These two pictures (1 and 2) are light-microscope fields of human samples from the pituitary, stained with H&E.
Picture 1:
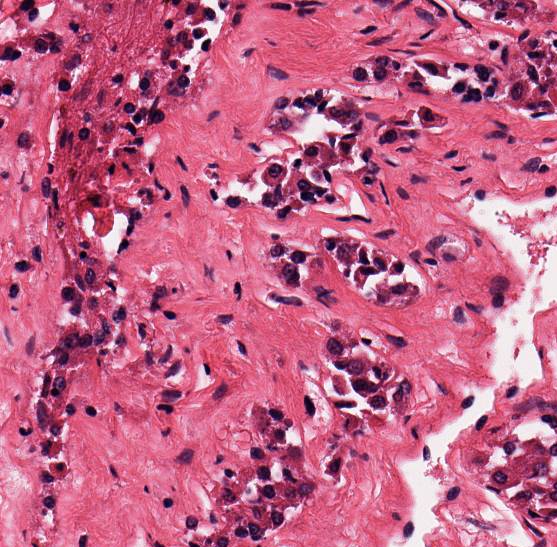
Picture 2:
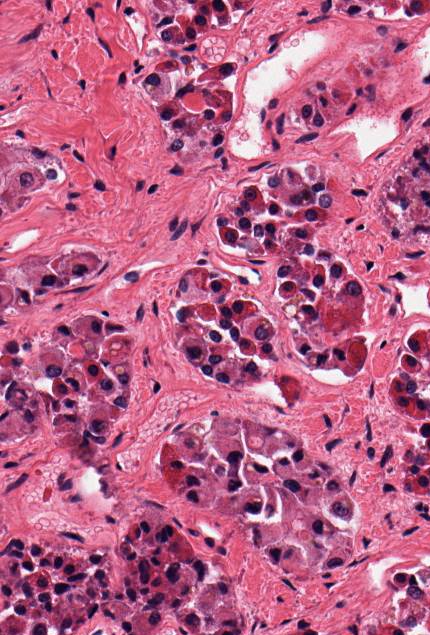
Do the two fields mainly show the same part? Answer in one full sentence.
No, picture 1 mainly shows dense connective tissue and picture 2 mainly shows the pars distalis.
